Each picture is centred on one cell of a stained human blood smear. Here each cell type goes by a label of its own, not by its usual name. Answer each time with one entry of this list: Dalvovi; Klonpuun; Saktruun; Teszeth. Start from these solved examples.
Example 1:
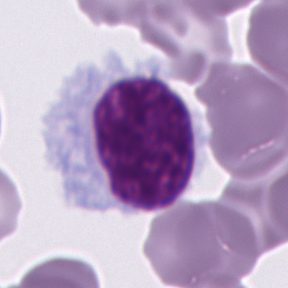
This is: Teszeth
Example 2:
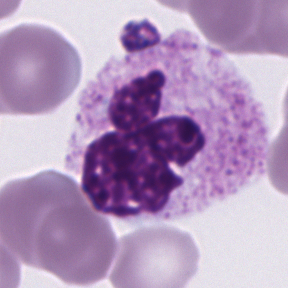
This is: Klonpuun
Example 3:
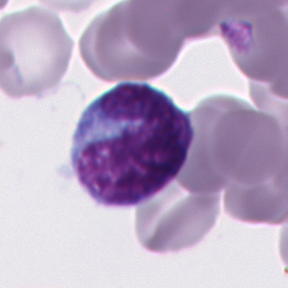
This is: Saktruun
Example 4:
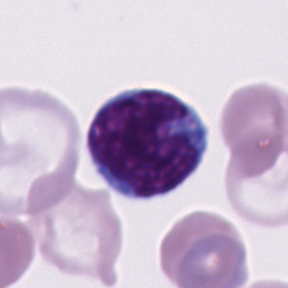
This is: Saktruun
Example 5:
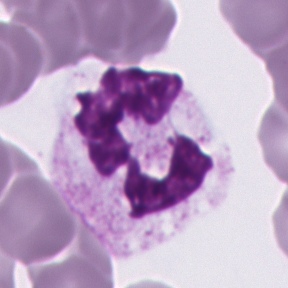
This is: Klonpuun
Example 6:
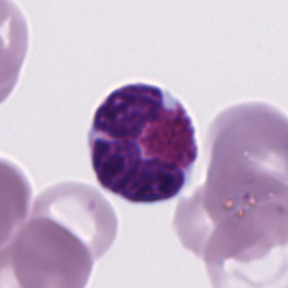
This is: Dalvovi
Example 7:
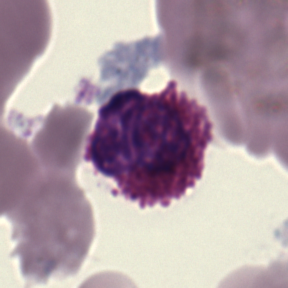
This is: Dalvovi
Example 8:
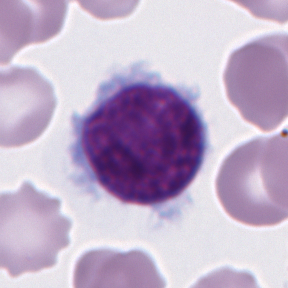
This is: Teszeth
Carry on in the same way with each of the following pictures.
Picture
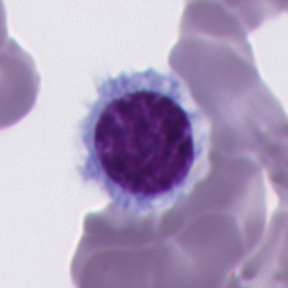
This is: Teszeth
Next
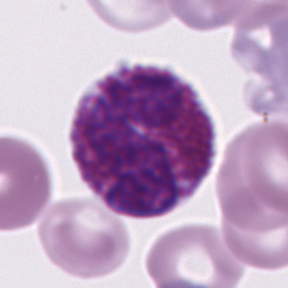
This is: Dalvovi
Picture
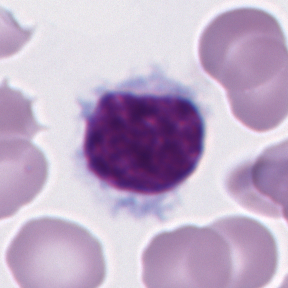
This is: Teszeth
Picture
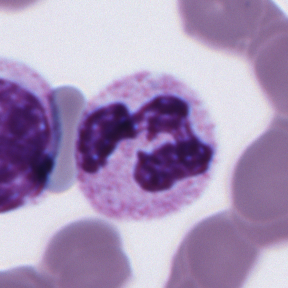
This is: Klonpuun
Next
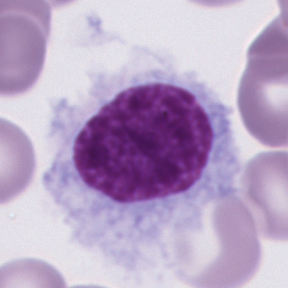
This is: Teszeth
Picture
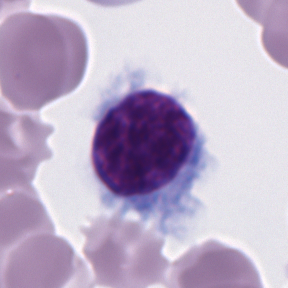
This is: Teszeth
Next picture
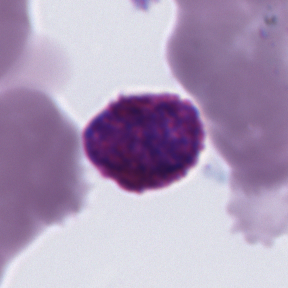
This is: Dalvovi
